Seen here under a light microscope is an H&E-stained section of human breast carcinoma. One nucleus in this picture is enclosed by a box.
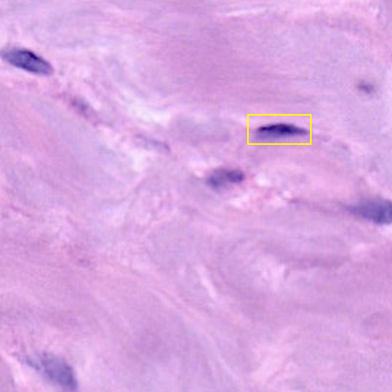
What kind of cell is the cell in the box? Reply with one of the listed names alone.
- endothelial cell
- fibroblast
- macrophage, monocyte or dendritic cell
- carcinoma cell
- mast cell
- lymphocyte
fibroblast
